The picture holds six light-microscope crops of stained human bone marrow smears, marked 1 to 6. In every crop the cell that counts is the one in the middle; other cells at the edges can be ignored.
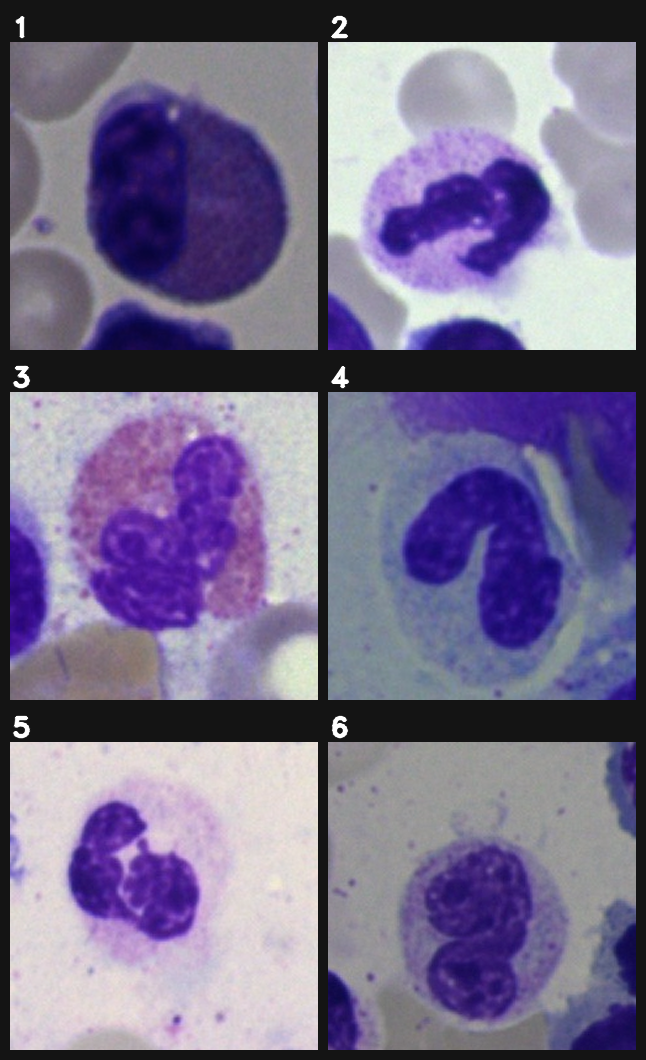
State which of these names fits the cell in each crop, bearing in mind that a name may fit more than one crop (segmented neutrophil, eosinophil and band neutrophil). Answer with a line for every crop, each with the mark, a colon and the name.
1: eosinophil
2: segmented neutrophil
3: eosinophil
4: band neutrophil
5: segmented neutrophil
6: band neutrophil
